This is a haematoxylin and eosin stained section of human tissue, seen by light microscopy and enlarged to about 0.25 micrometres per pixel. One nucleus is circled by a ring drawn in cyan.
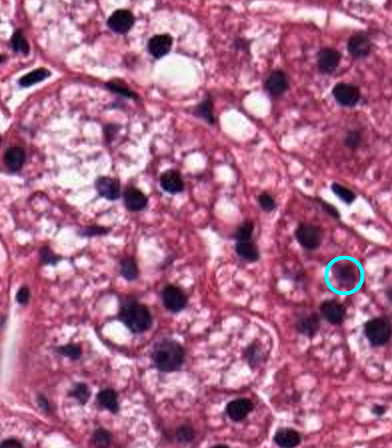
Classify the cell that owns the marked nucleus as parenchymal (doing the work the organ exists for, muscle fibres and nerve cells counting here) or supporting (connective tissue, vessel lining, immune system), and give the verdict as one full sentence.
The marked nucleus is owned by a parenchymal cell, in this case an adrenal cortical cell.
